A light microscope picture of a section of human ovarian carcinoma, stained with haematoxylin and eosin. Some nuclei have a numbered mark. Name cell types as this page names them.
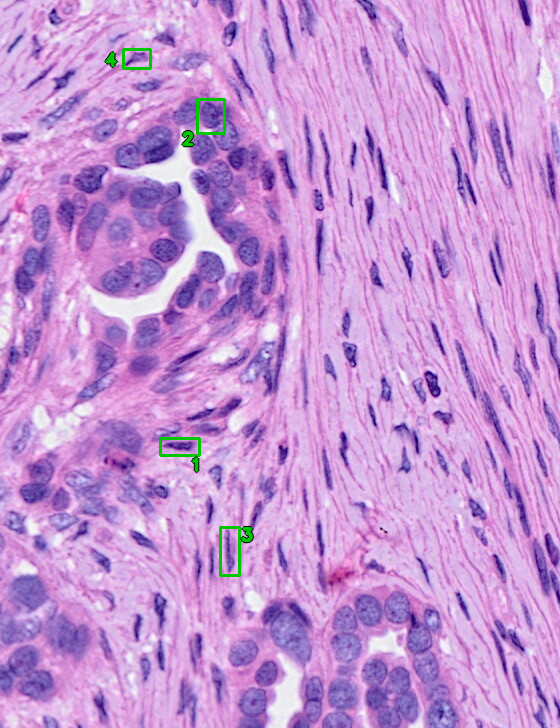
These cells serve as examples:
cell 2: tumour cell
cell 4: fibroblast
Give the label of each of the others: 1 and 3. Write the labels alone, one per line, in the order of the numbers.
fibroblast
fibroblast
